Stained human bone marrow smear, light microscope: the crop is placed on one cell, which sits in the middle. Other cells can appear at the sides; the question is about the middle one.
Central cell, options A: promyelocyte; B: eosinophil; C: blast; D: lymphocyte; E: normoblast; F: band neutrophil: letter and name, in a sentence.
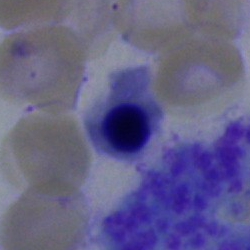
The cell in the middle is correctly identified as a normoblast in option E.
